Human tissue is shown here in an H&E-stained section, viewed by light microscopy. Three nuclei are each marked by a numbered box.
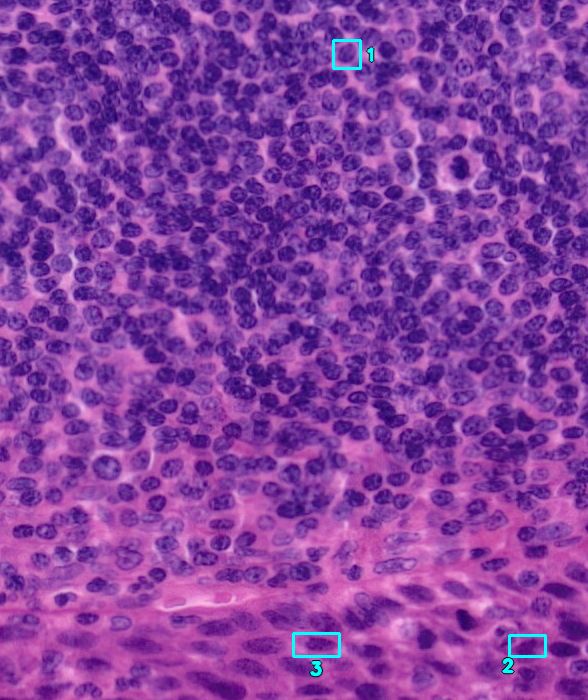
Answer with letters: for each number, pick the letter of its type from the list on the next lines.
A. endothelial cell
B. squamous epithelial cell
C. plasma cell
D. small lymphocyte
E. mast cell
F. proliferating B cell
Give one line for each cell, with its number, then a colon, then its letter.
1: D
2: B
3: B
